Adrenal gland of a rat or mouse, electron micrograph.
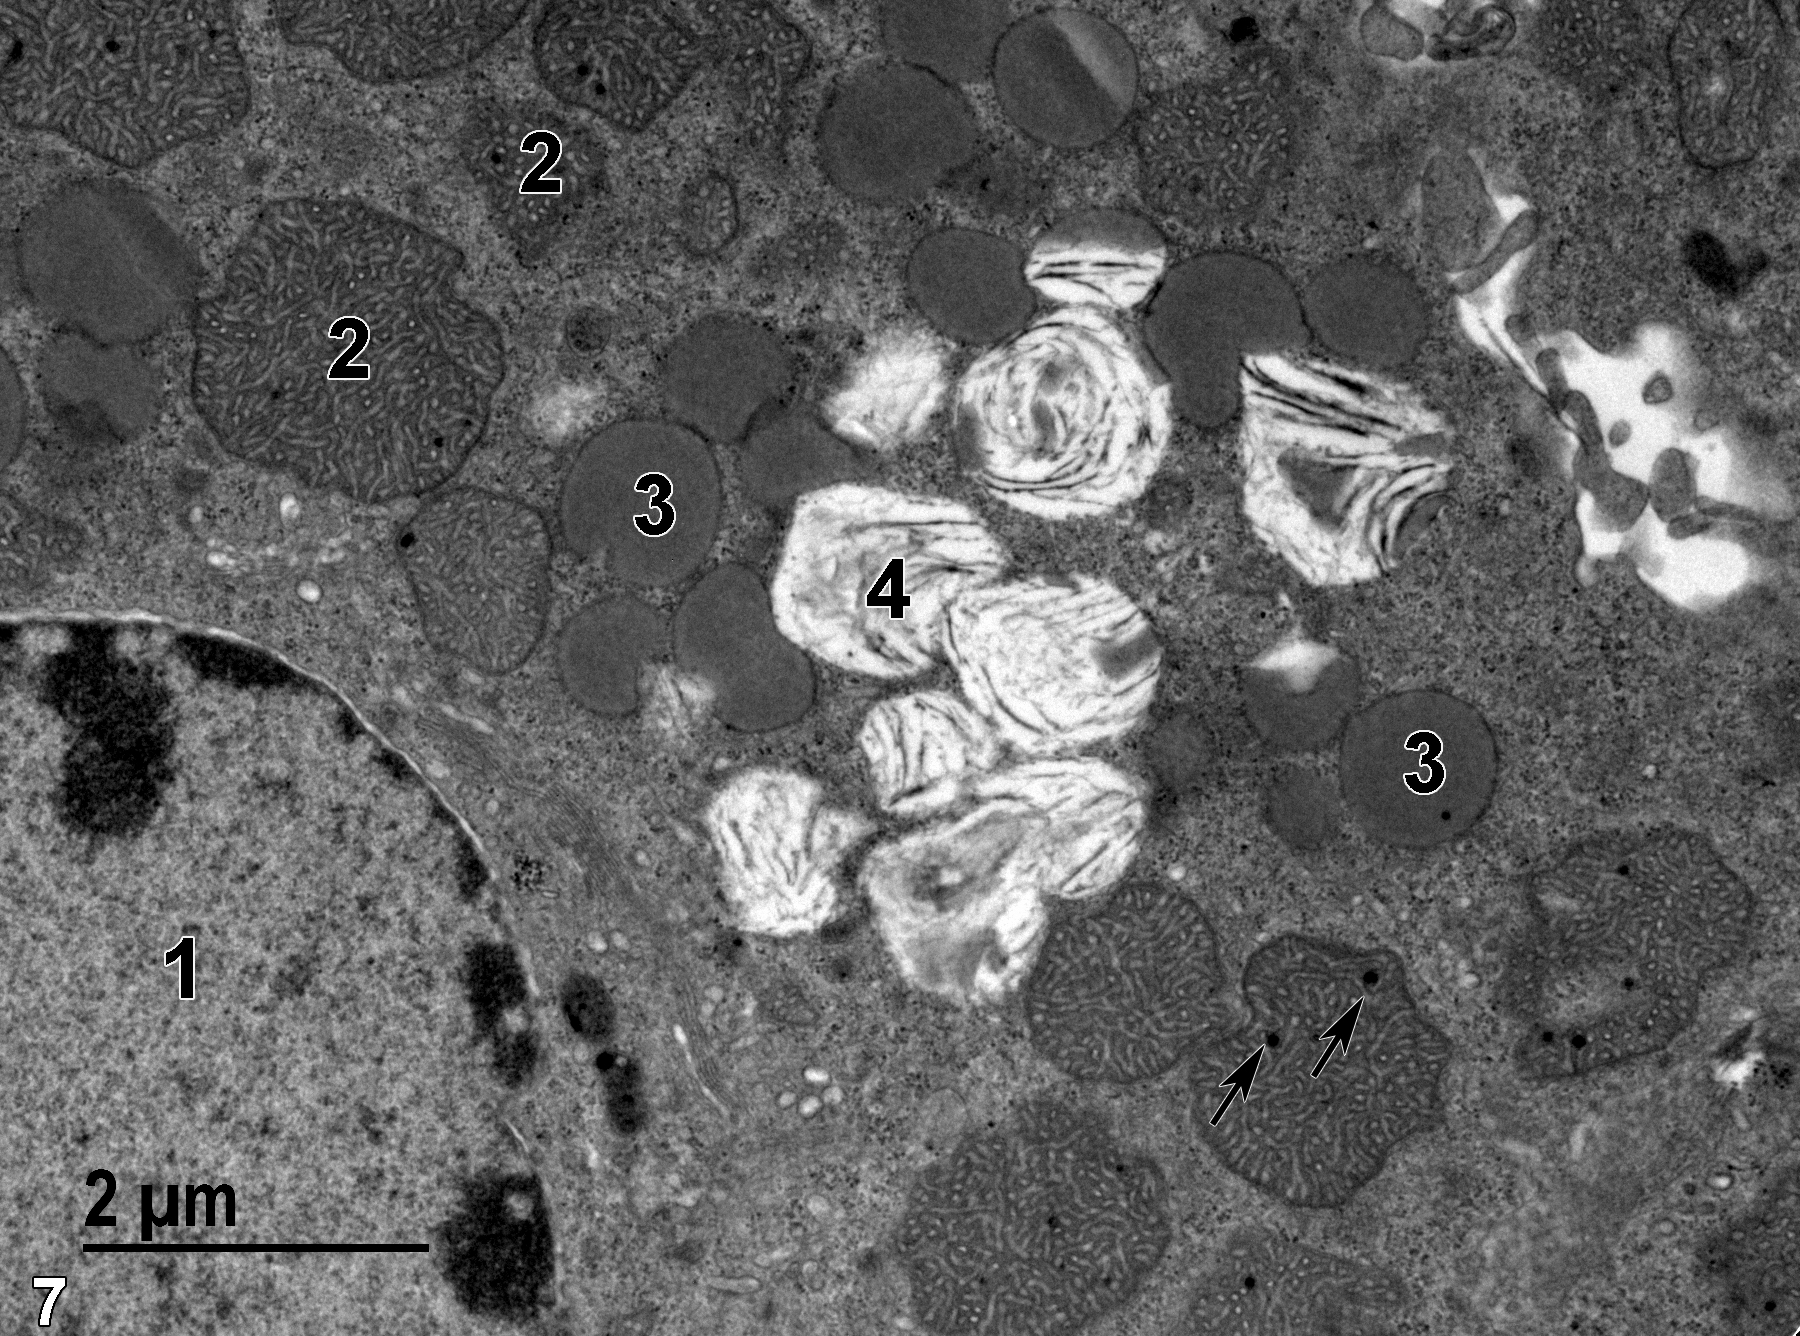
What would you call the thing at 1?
At 1: nucleus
